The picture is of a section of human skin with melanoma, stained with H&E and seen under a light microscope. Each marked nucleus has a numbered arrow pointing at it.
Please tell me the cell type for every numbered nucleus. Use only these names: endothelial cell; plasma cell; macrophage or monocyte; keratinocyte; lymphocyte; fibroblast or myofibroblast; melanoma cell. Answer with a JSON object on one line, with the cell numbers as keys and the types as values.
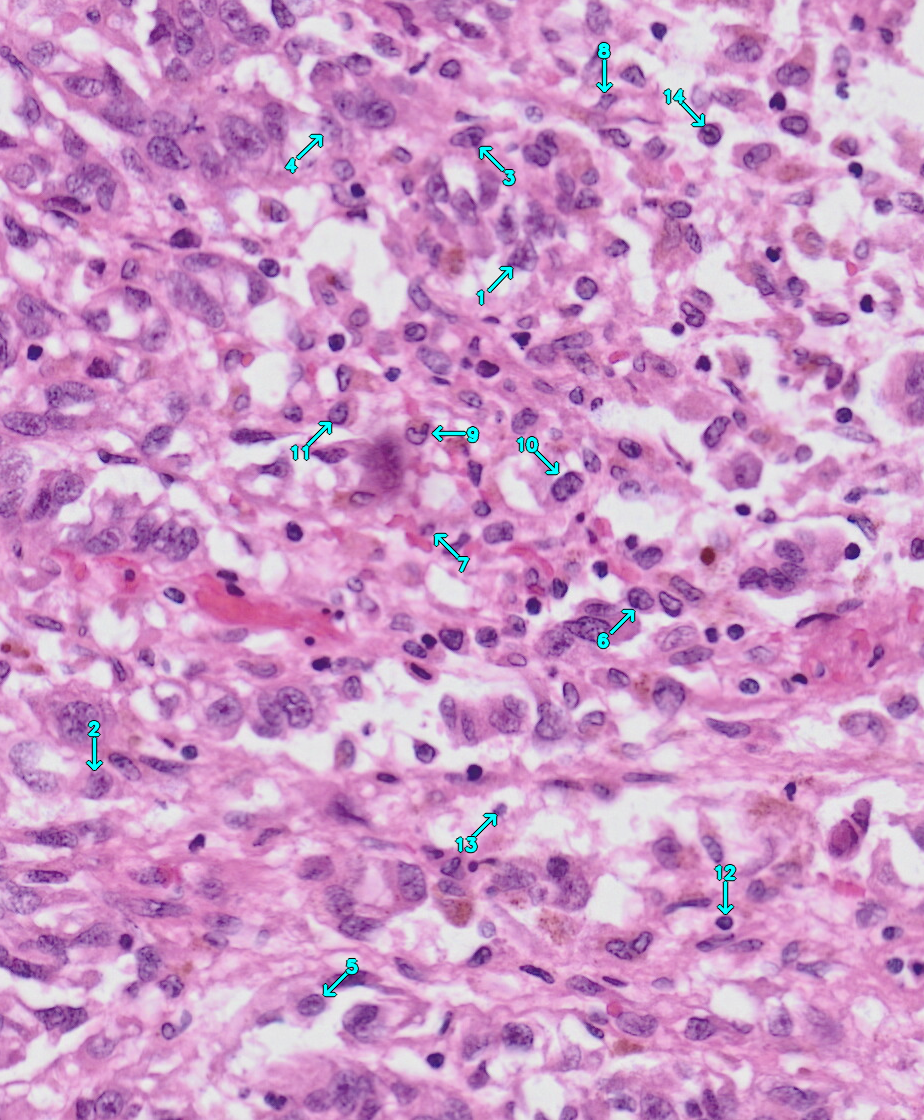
{"1": "melanoma cell", "2": "melanoma cell", "3": "macrophage or monocyte", "4": "melanoma cell", "5": "melanoma cell", "6": "macrophage or monocyte", "7": "macrophage or monocyte", "8": "macrophage or monocyte", "9": "macrophage or monocyte", "10": "melanoma cell", "11": "macrophage or monocyte", "12": "lymphocyte", "13": "lymphocyte", "14": "macrophage or monocyte"}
